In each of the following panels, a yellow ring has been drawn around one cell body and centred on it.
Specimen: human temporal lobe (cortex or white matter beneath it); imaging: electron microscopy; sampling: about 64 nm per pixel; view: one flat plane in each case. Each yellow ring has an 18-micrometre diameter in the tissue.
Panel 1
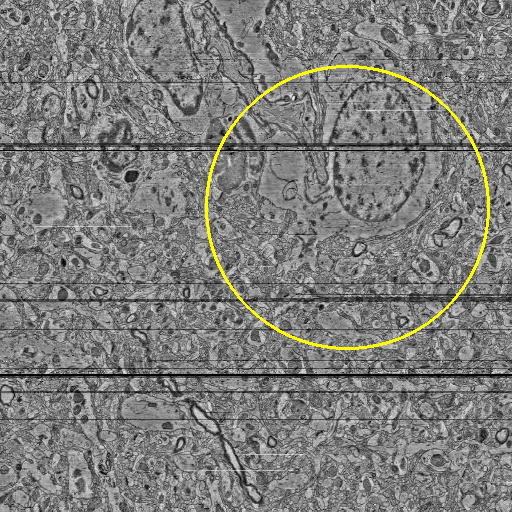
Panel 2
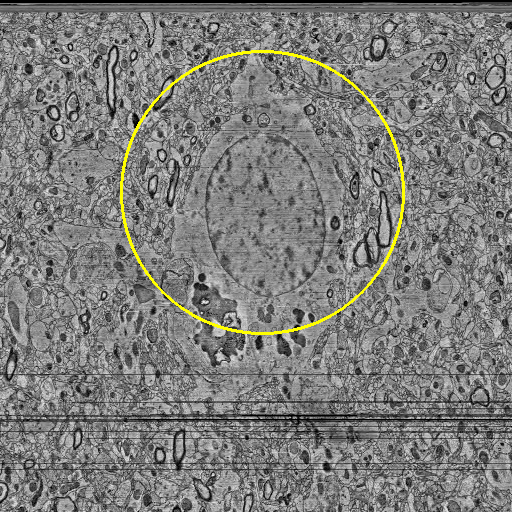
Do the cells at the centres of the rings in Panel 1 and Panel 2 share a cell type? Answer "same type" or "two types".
same type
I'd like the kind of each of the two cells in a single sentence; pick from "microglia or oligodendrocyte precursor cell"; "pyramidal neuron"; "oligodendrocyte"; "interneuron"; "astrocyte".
In each picture the ringed cell is an astrocyte.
